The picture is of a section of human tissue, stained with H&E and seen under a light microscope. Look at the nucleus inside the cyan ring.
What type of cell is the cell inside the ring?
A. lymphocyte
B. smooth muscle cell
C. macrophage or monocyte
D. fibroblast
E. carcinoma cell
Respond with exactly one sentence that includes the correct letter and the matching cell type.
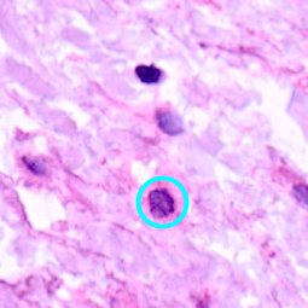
Best answer: option C, with the cell inside the ring being a macrophage or monocyte.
